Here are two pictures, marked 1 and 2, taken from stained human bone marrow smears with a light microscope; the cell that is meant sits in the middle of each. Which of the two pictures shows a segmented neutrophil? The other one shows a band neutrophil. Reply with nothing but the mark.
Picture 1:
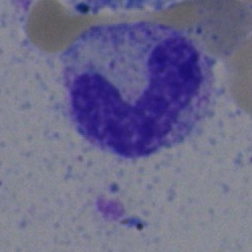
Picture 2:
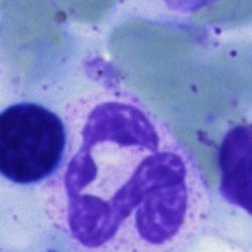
2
